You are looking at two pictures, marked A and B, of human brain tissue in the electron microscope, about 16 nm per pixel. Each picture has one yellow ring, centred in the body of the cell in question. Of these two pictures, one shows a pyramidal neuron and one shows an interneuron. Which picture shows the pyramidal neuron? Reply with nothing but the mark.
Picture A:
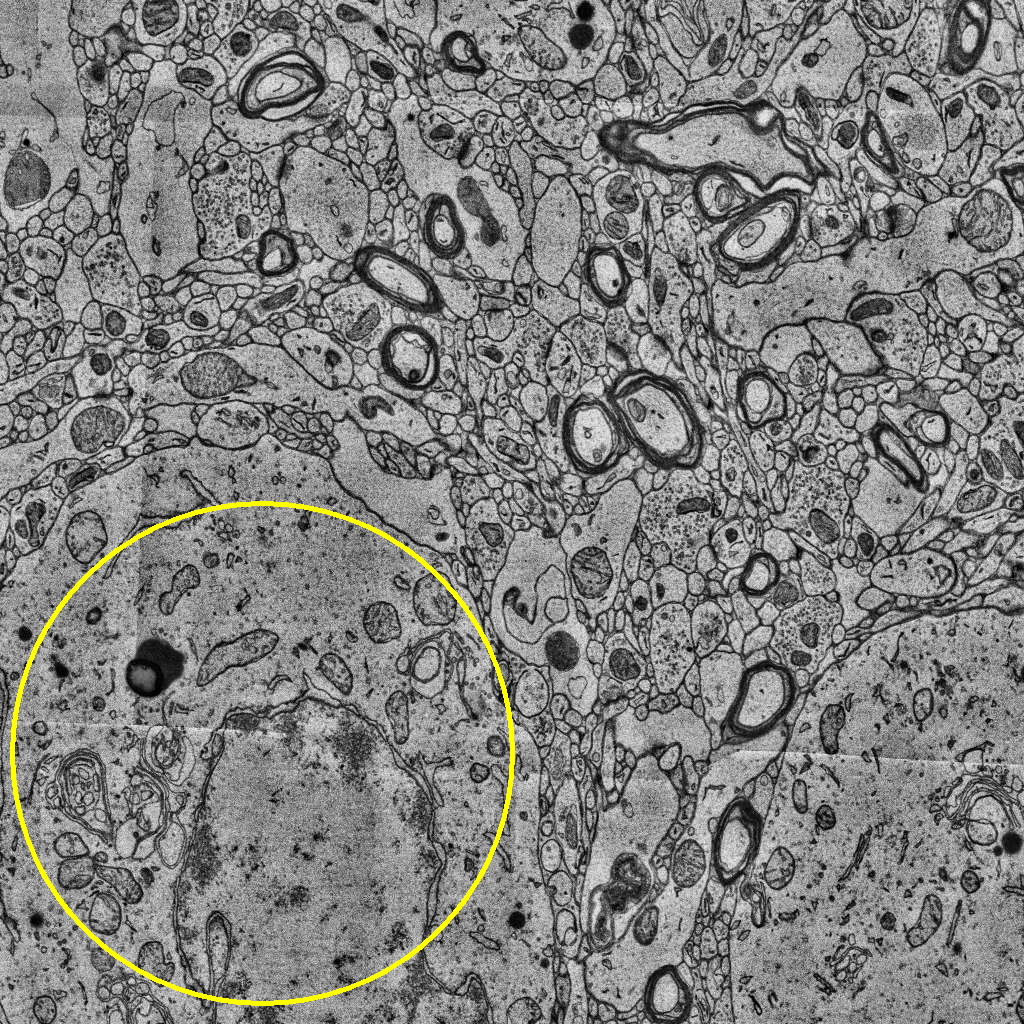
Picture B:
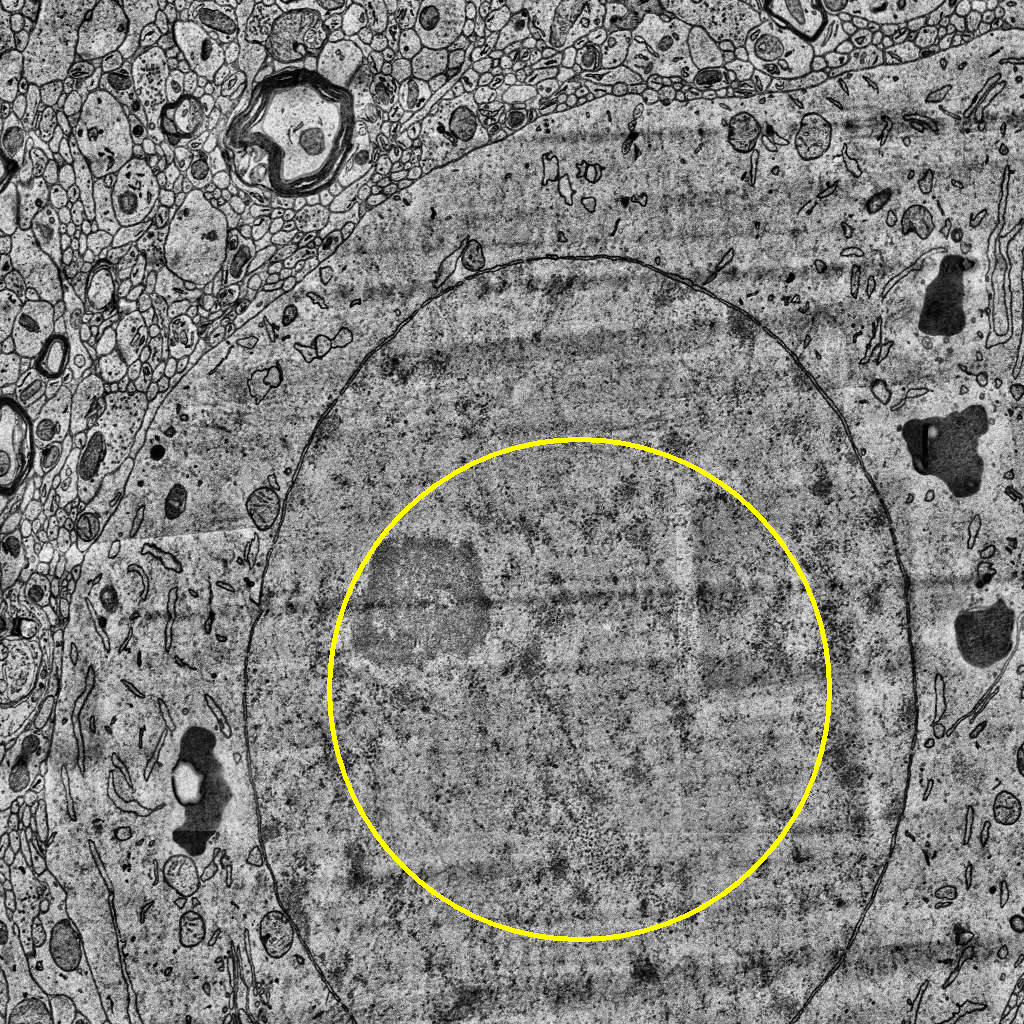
B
